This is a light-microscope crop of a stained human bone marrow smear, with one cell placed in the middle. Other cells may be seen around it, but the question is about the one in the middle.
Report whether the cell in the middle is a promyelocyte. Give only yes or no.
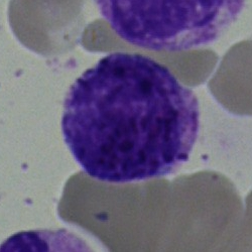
no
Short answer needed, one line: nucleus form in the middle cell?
Just one compact nuclear mass here, round, oval or kidney-shaped.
